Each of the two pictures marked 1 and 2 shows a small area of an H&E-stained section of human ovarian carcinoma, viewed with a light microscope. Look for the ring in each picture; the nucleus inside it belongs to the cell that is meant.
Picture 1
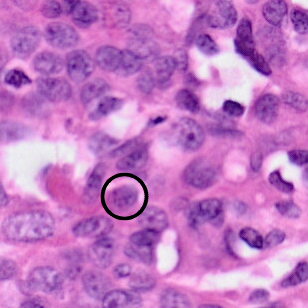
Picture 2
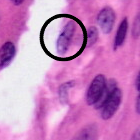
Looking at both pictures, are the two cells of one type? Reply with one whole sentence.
No, picture 1 shows a carcinoma cell and picture 2 shows a “macrophage or monocyte”.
